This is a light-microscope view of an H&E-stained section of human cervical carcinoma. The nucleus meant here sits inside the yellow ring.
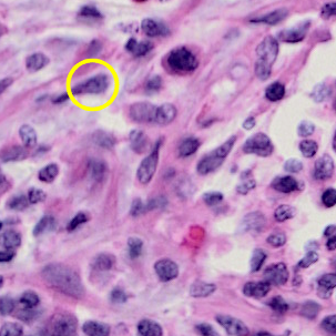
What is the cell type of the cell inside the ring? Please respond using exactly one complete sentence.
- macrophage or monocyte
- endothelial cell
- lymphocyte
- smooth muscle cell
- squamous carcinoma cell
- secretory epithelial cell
In this section of tissue, the cell inside the ring is a lymphocyte.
